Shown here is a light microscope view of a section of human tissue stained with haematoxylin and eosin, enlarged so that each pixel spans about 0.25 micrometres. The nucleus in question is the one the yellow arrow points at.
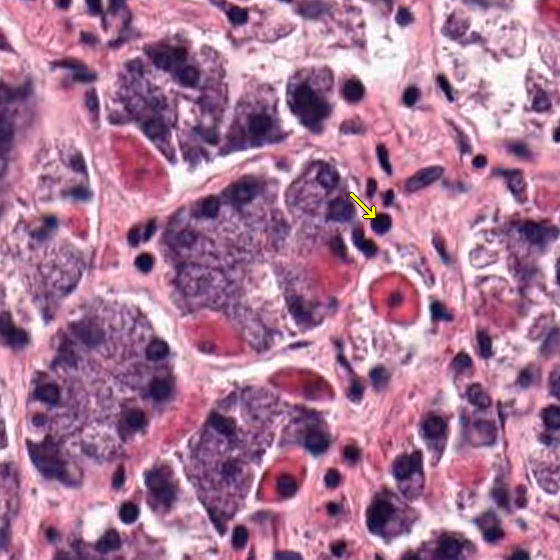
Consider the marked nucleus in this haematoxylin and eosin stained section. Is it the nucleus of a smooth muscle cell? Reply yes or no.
no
